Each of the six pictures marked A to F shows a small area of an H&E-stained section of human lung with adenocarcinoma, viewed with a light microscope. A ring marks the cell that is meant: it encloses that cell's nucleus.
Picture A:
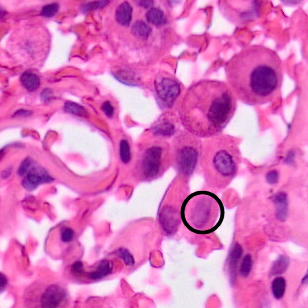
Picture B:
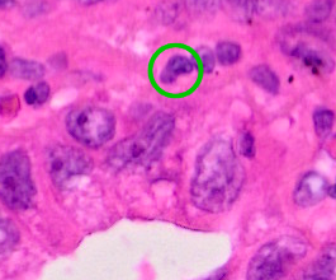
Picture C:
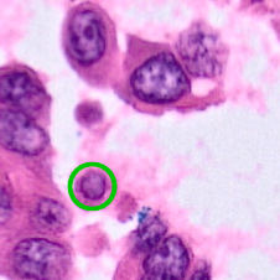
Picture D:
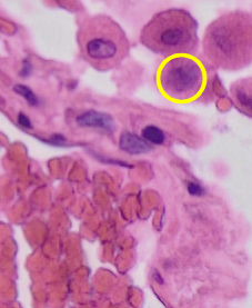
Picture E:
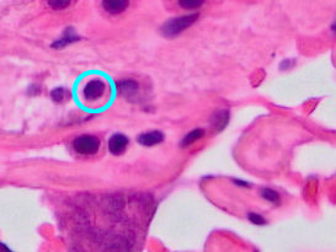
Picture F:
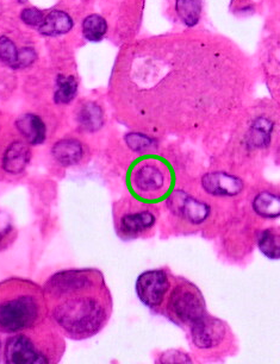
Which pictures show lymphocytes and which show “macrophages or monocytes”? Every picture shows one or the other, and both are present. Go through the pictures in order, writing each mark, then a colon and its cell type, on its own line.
A: macrophage or monocyte
B: lymphocyte
C: macrophage or monocyte
D: macrophage or monocyte
E: lymphocyte
F: macrophage or monocyte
